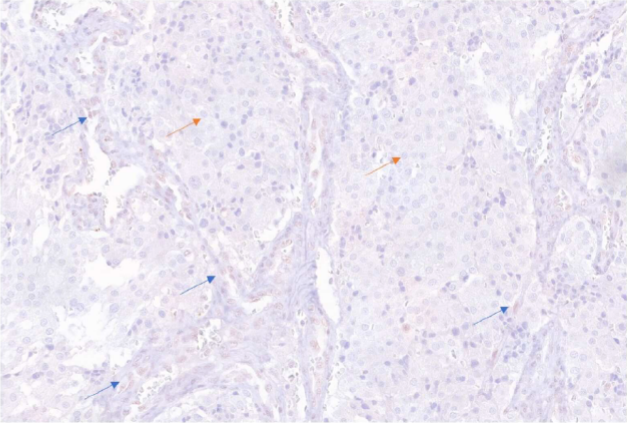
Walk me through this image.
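Tumor cells form large rounded nests of closely packed cells with round, fairly uniform blue nuclei and pale cytoplasm. The nuclei of the tumor cells lack brown staining. The nests are separated by thin fibrovascular septa containing elongated endothelial and stromal cells of vessels, along which small slit-like vascular spaces run.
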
